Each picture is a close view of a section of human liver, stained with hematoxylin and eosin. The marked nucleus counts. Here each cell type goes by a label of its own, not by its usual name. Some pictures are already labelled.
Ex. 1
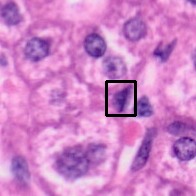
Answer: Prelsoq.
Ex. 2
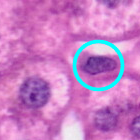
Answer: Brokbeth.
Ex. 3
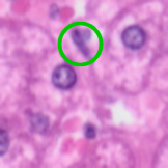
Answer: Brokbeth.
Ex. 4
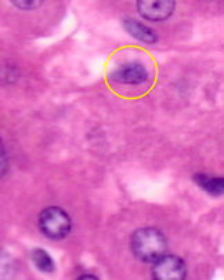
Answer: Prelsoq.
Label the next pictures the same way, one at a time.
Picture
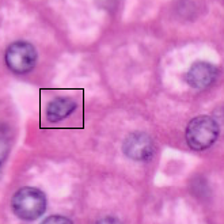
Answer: Prelsoq.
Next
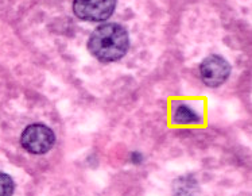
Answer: Prelsoq.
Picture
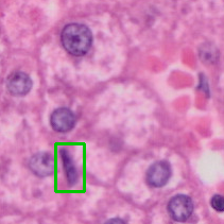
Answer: Prelsoq.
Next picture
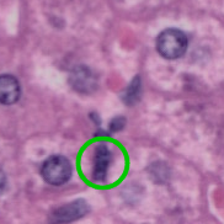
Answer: Prelsoq.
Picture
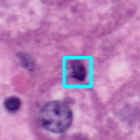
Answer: Prelsoq.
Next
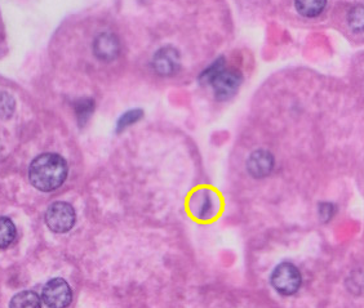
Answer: Brokbeth.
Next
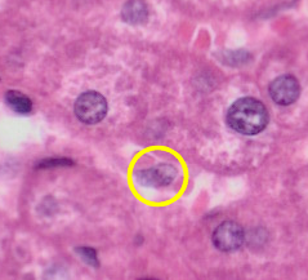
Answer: Brokbeth.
